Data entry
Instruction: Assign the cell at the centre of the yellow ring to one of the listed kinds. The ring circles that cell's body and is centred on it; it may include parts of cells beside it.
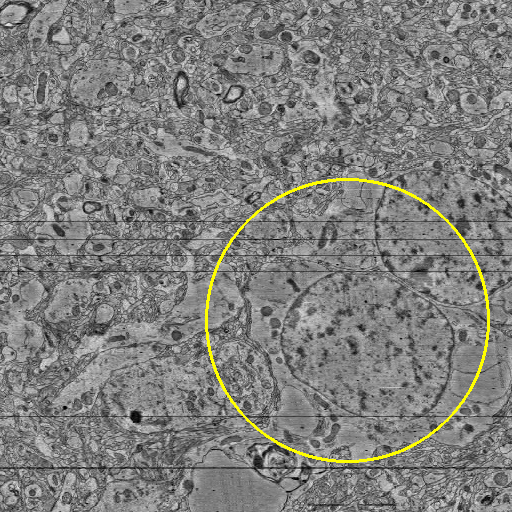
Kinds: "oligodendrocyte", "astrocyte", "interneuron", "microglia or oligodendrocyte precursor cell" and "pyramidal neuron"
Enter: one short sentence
The centre of the ring falls on an astrocyte.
